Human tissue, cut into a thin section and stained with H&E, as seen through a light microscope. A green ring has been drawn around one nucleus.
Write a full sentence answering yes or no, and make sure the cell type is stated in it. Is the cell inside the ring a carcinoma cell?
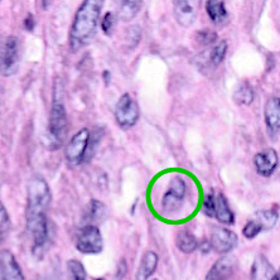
No, the identity of the cell inside the ring is a fibroblast, not a carcinoma cell.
